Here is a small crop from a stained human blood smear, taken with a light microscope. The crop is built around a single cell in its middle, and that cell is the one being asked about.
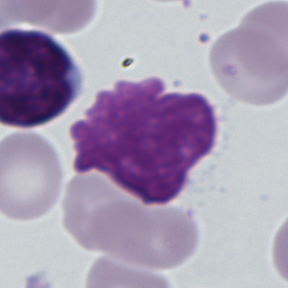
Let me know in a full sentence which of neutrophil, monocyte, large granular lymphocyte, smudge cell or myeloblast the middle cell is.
The centrally located cell in the crop is a smudge cell.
